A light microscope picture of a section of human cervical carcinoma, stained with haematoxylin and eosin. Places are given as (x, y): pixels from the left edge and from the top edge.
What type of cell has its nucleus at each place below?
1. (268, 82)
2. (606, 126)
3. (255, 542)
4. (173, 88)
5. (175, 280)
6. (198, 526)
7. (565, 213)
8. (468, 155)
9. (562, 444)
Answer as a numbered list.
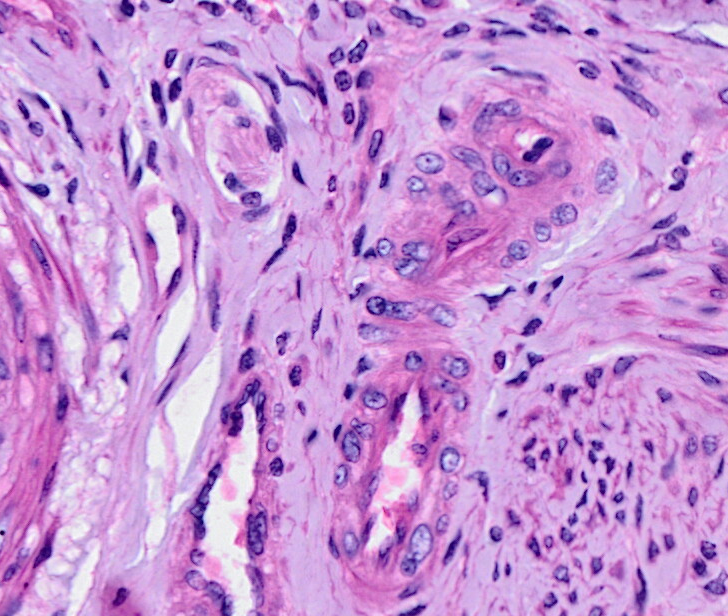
1. fibroblast
2. lymphocyte
3. endothelial cell
4. lymphocyte
5. endothelial cell
6. endothelial cell
7. smooth muscle cell
8. smooth muscle cell
9. smooth muscle cell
